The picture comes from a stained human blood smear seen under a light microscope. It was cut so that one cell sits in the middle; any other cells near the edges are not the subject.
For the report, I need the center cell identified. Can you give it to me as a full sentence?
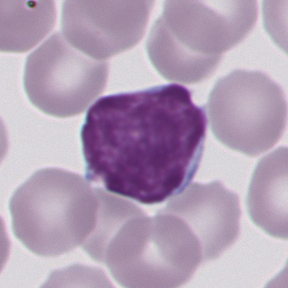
The cell centred in this crop is categorized as a typical lymphocyte.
